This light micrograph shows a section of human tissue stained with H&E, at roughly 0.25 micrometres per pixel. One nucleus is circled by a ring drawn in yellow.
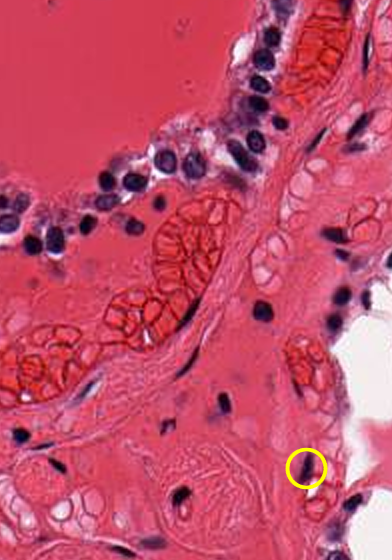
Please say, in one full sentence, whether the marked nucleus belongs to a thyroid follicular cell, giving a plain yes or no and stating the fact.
No, instead of a thyroid follicular cell, a supporting cell is what the marked nucleus belongs to.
